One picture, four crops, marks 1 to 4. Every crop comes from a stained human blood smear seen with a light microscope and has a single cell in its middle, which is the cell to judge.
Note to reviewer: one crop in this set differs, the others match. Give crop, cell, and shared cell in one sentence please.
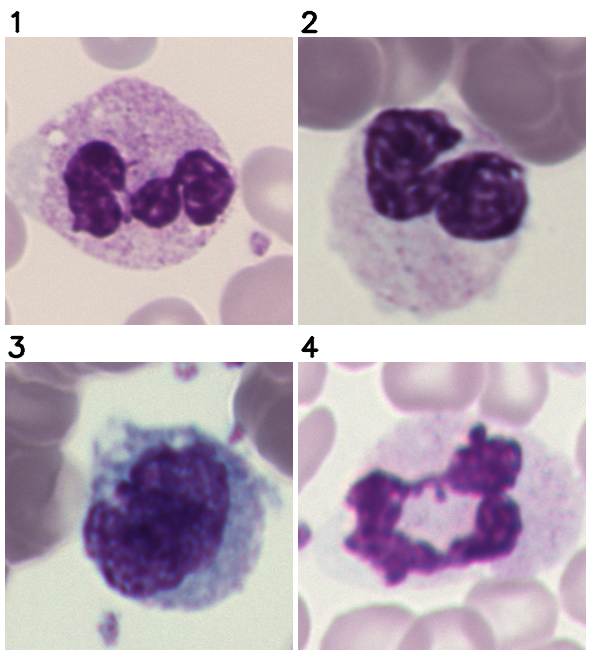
Crop 3 differs from its companions, showing a monocyte where they show segmented neutrophils.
